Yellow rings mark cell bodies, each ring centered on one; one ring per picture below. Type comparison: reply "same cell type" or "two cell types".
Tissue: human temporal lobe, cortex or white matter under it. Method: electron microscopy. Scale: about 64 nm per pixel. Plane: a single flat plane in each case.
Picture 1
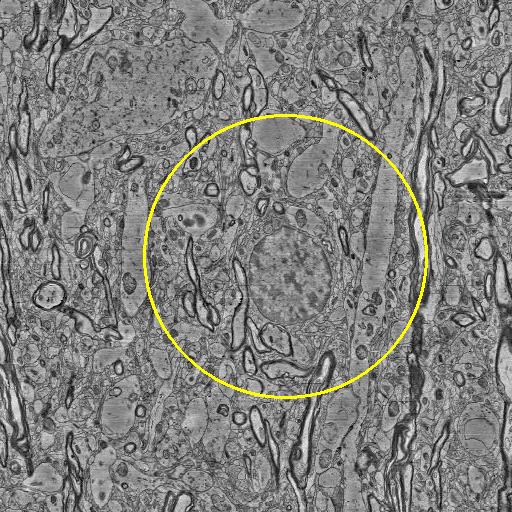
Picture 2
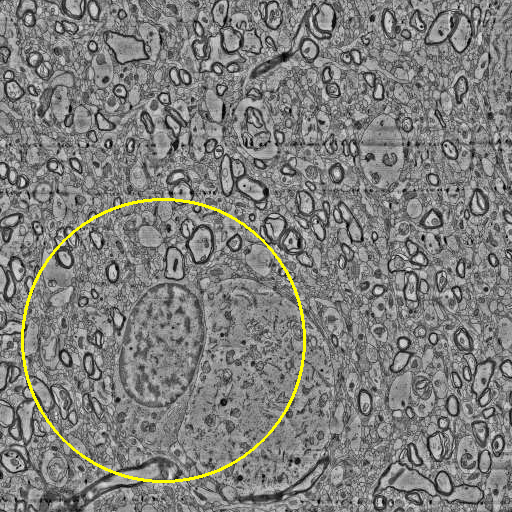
same cell type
